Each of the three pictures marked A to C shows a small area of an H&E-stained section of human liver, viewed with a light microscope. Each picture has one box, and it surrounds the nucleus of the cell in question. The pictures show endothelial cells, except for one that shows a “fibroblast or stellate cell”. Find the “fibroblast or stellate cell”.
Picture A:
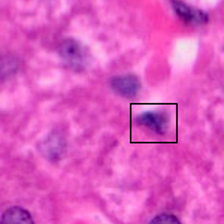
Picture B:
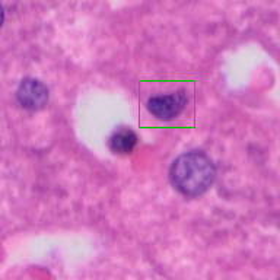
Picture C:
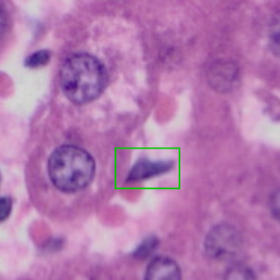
B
